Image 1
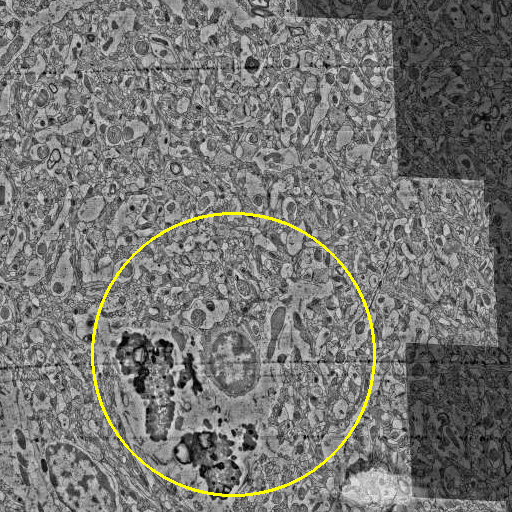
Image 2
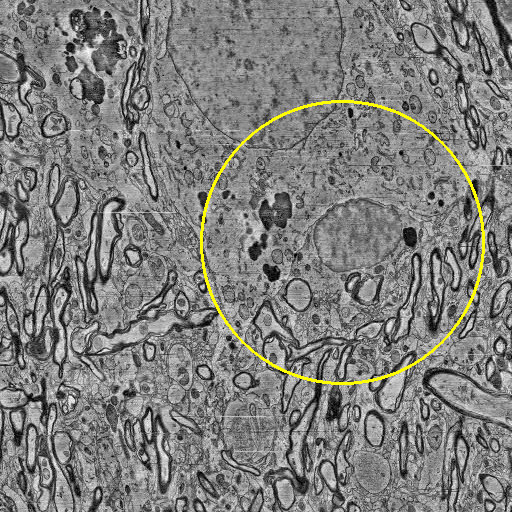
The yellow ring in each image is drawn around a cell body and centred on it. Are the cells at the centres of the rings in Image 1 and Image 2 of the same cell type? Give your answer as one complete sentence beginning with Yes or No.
Yes, both cells are of the same type.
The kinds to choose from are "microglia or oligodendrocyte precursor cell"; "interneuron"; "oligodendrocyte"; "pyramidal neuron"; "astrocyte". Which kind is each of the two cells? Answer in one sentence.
Each of the two rings surrounds an oligodendrocyte.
